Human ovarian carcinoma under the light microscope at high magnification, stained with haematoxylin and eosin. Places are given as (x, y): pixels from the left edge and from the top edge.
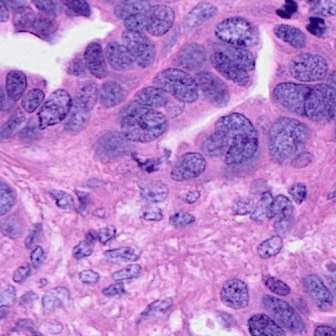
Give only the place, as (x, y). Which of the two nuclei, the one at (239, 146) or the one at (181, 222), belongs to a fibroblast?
(181, 222)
